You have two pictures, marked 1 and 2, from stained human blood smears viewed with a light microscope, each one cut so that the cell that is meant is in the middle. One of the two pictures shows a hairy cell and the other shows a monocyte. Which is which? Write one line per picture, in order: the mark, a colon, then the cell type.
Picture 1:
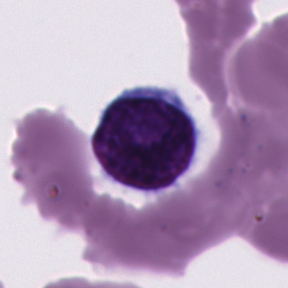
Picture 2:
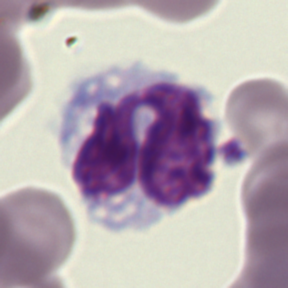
1: hairy cell
2: monocyte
